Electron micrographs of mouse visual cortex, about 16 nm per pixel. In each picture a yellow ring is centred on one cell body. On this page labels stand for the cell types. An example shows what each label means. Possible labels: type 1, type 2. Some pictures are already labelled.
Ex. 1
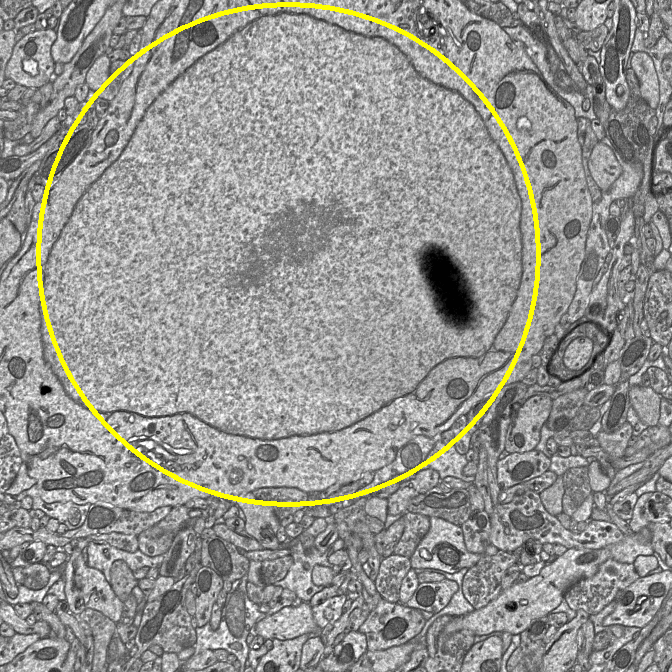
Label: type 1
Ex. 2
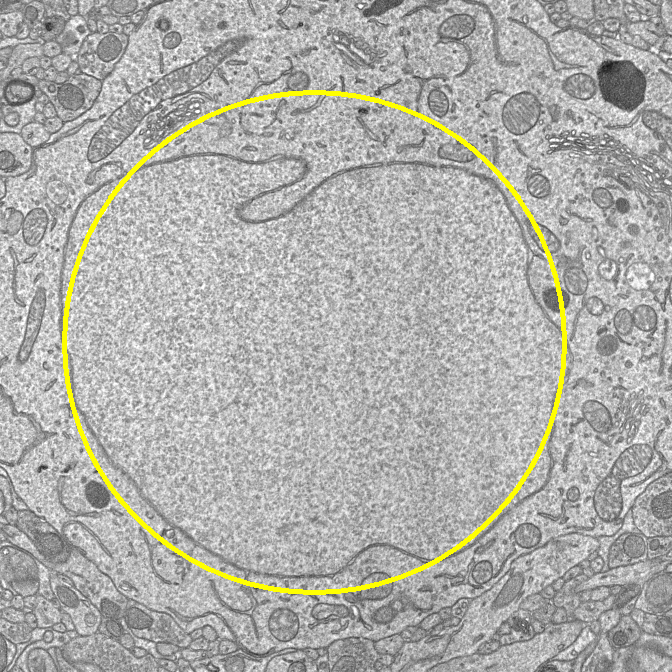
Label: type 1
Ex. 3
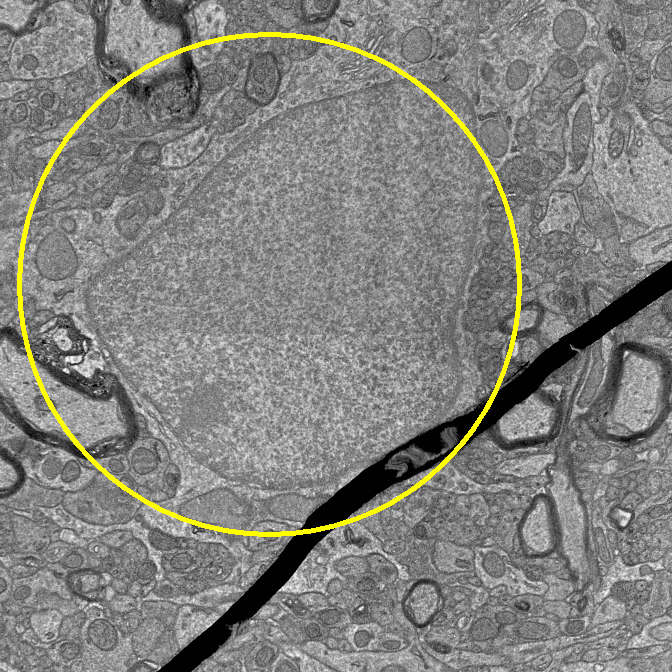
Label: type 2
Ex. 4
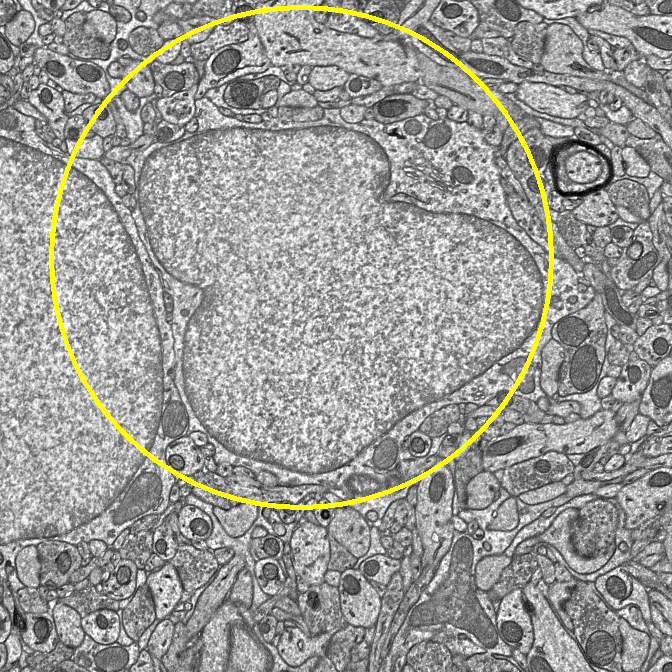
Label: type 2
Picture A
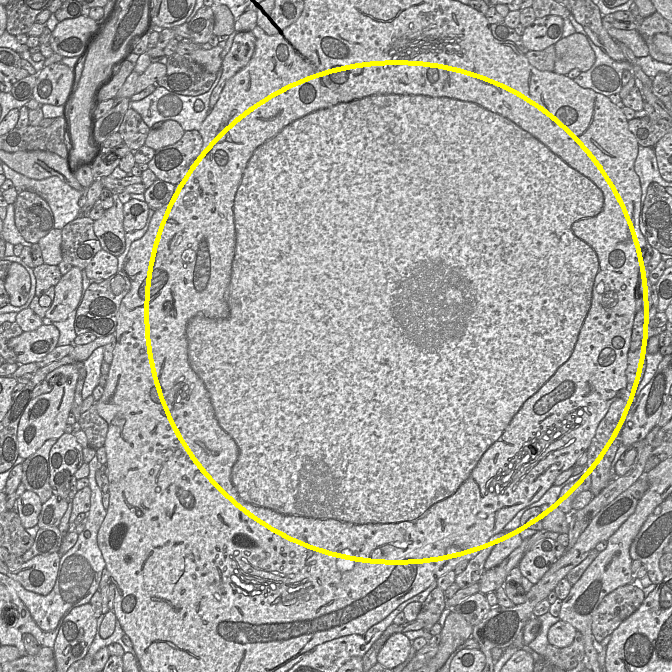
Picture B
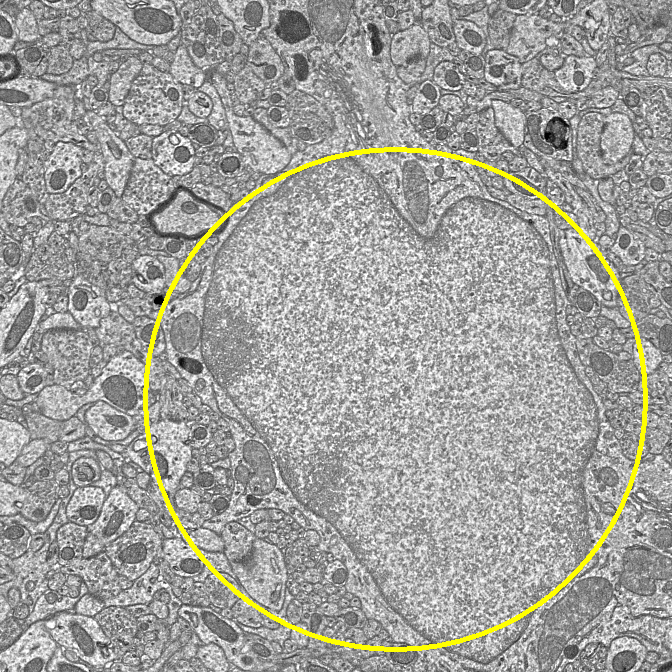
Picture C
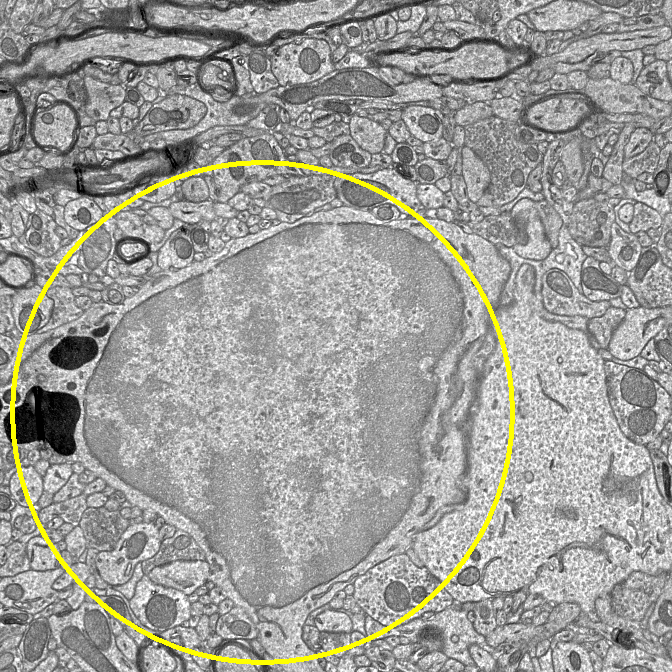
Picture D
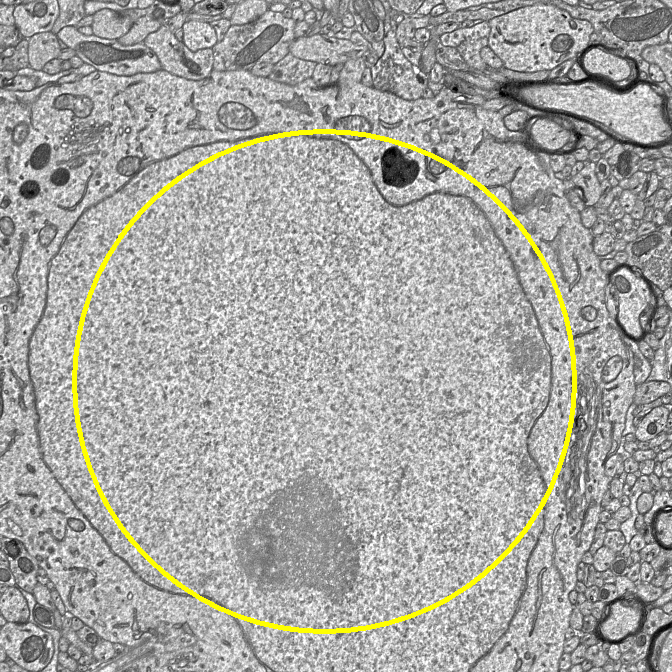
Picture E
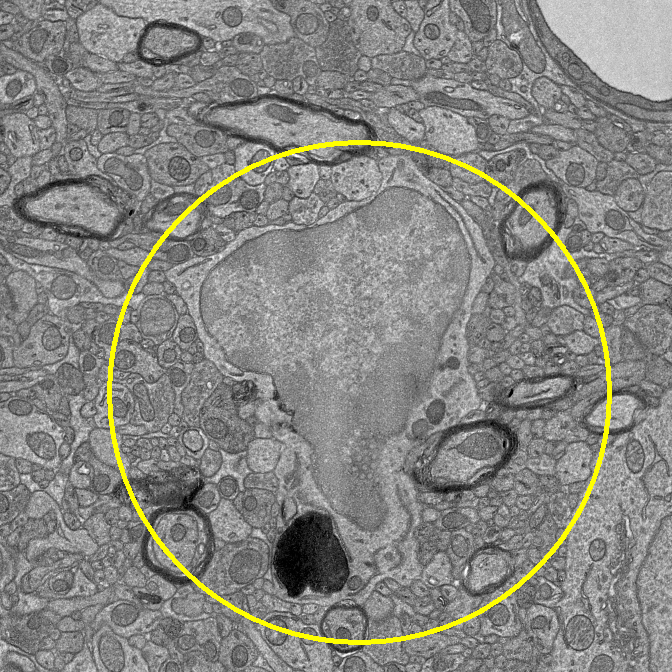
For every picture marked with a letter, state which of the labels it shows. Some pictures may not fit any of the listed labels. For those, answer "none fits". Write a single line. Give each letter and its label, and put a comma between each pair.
A type 1, B type 2, C none fits, D type 1, E none fits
